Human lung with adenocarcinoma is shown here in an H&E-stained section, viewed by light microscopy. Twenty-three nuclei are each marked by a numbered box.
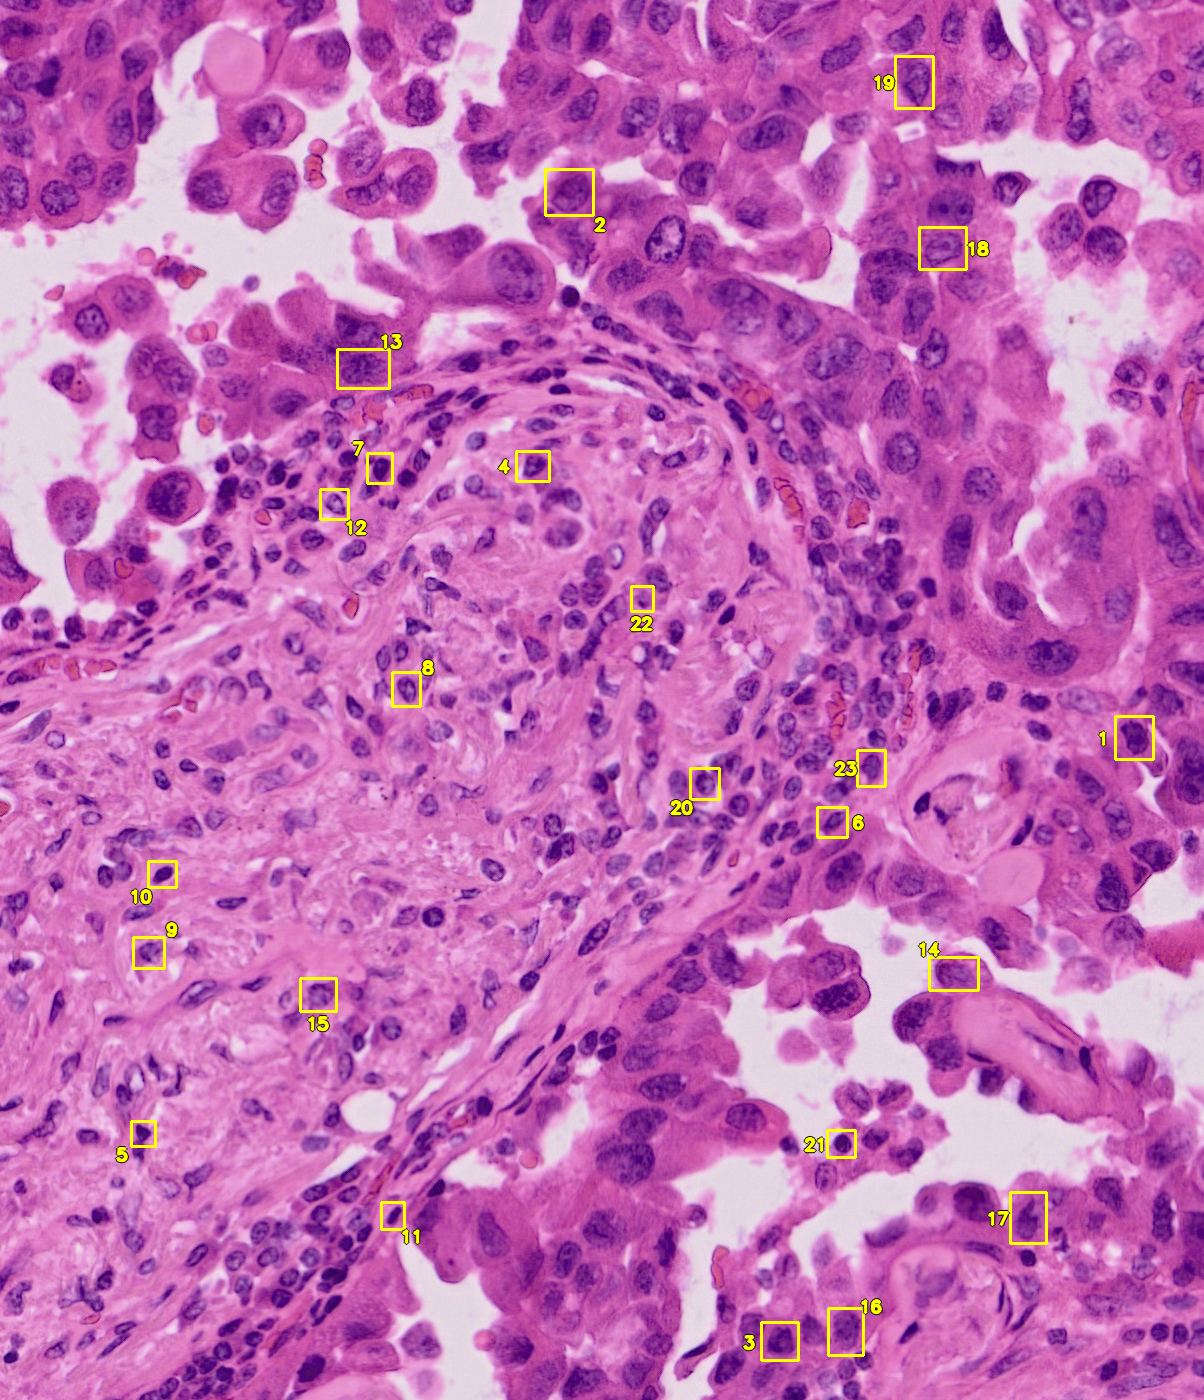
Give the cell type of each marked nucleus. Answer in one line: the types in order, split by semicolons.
carcinoma cell; carcinoma cell; carcinoma cell; plasma cell; lymphocyte; lymphocyte; plasma cell; plasma cell; plasma cell; lymphocyte; lymphocyte; lymphocyte; carcinoma cell; carcinoma cell; plasma cell; carcinoma cell; carcinoma cell; carcinoma cell; carcinoma cell; plasma cell; lymphocyte; plasma cell; plasma cell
